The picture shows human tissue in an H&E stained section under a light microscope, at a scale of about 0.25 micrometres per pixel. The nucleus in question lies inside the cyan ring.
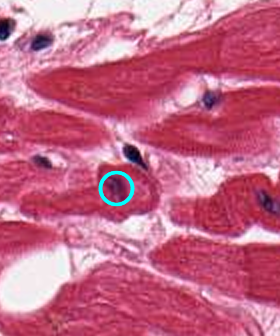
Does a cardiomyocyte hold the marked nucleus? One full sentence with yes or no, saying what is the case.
Yes, the marked nucleus is one belonging to a cardiomyocyte.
